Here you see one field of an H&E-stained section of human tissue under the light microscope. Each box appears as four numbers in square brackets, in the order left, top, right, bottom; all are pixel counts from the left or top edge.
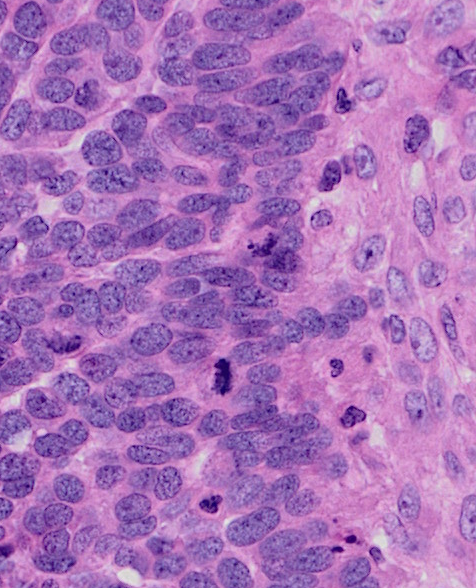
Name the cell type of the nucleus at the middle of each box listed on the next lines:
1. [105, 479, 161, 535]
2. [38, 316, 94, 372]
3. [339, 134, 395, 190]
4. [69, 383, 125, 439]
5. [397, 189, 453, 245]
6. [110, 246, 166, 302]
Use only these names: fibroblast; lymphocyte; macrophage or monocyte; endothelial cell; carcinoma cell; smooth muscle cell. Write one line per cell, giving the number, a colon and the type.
1: carcinoma cell
2: carcinoma cell
3: fibroblast
4: carcinoma cell
5: fibroblast
6: carcinoma cell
